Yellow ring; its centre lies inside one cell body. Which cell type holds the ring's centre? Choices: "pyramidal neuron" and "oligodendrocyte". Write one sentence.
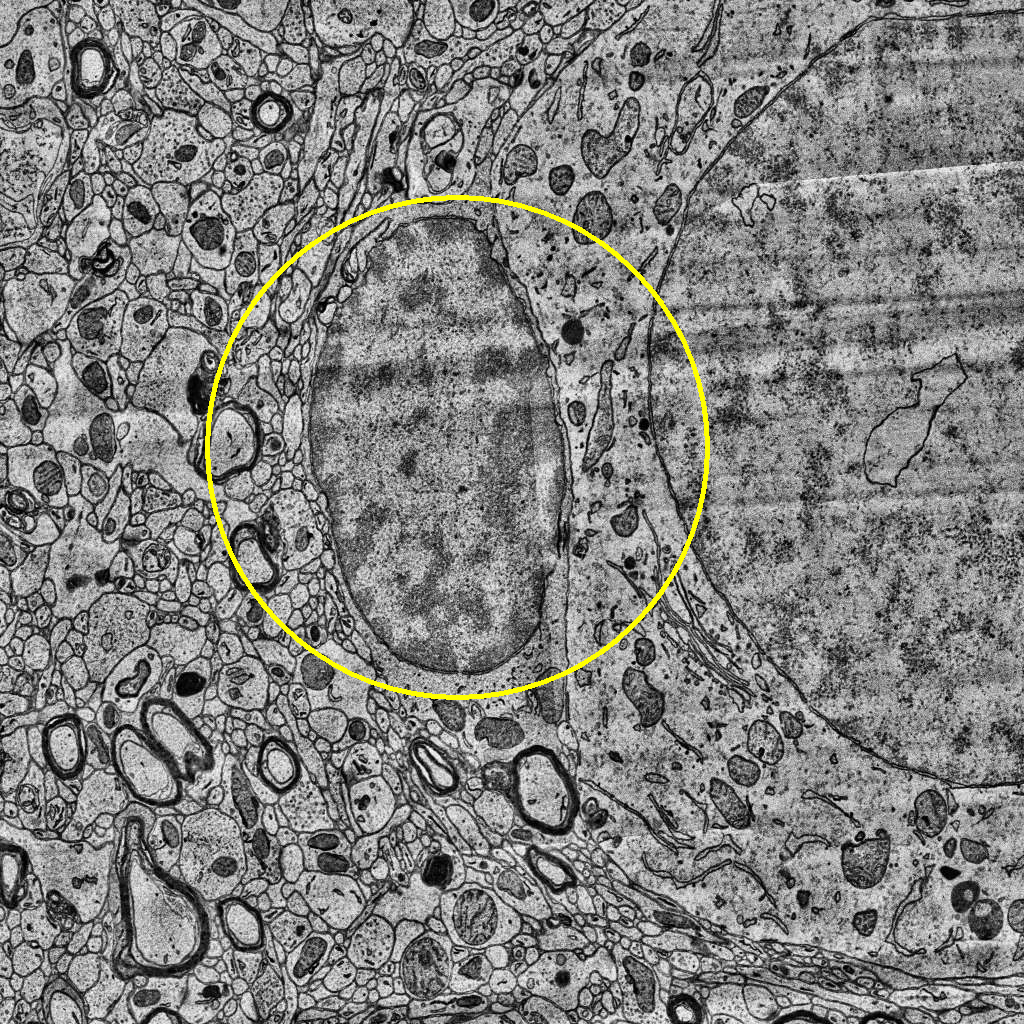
At the centre of the ring sits an oligodendrocyte.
